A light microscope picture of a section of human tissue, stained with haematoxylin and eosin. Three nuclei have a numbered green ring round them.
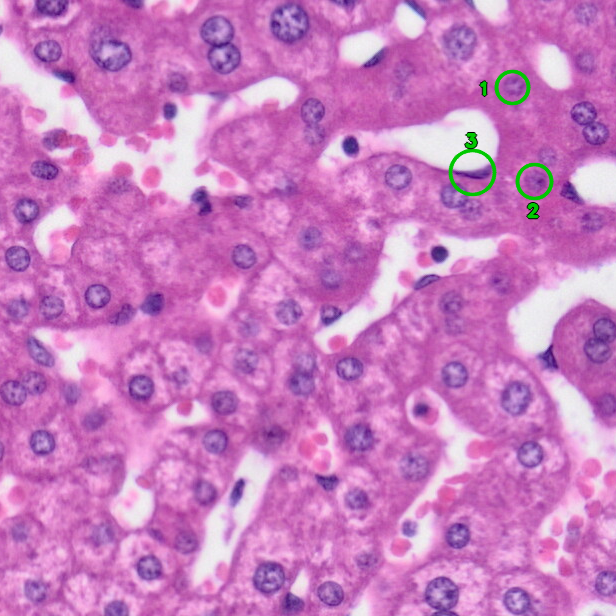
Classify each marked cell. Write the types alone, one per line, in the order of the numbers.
hepatocyte
hepatocyte
fibroblast or stellate cell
